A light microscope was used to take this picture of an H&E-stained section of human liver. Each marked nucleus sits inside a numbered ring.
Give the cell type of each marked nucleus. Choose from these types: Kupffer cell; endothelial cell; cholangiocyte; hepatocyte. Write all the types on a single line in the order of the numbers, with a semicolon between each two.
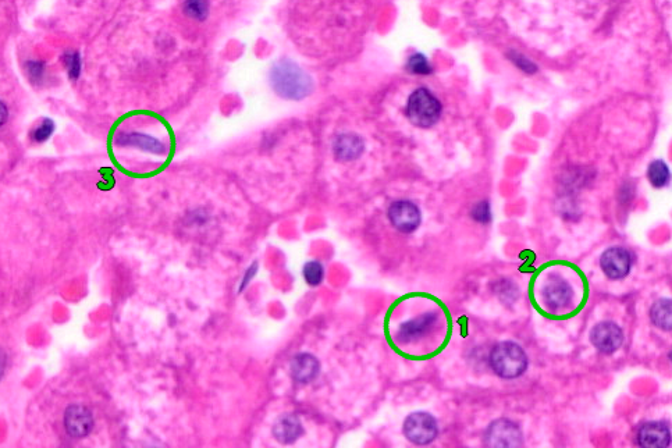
endothelial cell; hepatocyte; Kupffer cell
